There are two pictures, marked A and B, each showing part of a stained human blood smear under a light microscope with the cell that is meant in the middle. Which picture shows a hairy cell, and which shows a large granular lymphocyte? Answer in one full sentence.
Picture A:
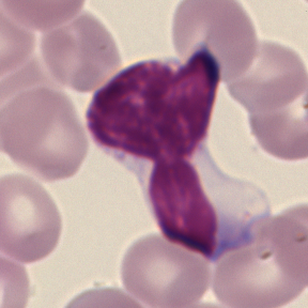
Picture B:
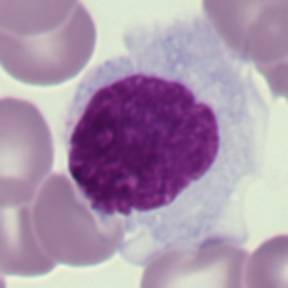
It is picture A that shows a large granular lymphocyte, and picture B that shows a hairy cell.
